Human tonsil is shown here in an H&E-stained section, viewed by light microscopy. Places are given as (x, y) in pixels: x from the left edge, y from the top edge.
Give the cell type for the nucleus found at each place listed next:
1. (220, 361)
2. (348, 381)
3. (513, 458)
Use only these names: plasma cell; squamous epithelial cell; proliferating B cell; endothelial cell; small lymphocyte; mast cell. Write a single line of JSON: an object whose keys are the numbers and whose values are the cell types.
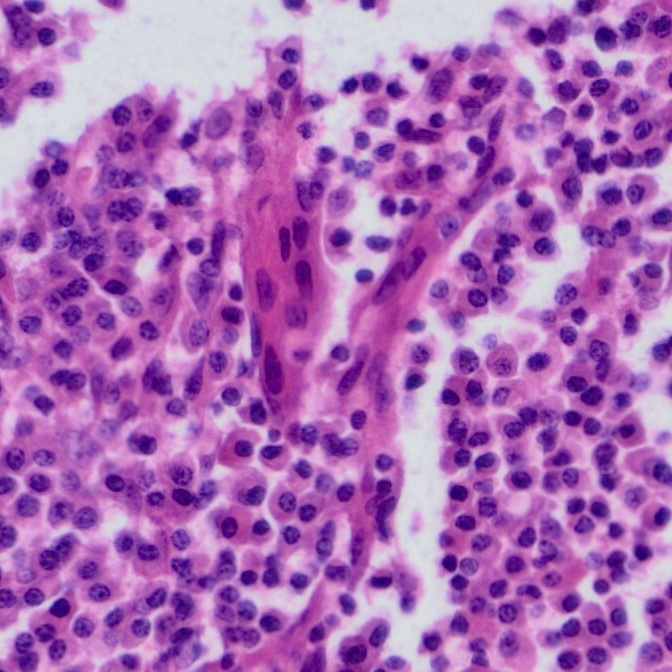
{"1": "plasma cell", "2": "squamous epithelial cell", "3": "plasma cell"}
